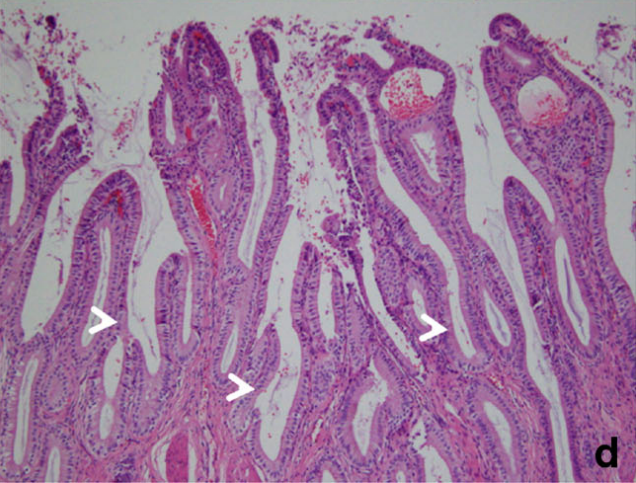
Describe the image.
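This is the gallbladder mucosa, with tall, slender folds lined by a single layer of columnar epithelial cells whose dark, elongated nuclei sit close together along the base. Between the folds the epithelium dips down into narrow clefts, and the cores of the folds hold loose pink connective tissue with small blood vessels filled with red cells.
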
